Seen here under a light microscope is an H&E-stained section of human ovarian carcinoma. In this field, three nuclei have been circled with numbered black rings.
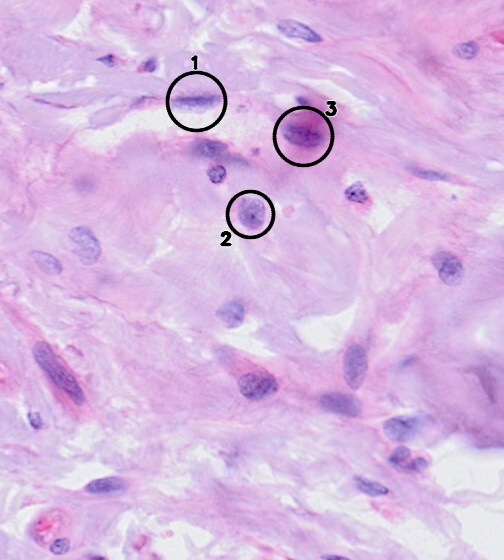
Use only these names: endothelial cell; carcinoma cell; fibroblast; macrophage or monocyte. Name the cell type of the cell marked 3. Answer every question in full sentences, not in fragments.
The cell referenced by the number 3 is an endothelial cell in this field.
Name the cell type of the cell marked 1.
The cell that is numbered 1 is an endothelial cell.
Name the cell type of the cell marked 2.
The expected answer is that cell 2 is a fibroblast.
